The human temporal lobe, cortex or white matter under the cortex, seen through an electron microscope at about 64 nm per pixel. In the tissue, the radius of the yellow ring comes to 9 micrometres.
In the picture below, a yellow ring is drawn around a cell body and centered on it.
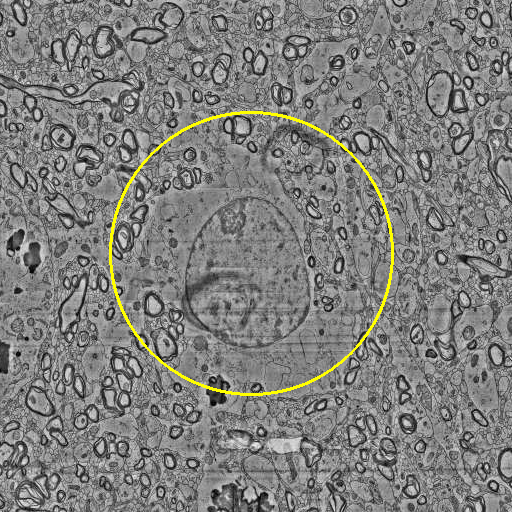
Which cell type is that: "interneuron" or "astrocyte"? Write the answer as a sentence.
The cell centered in the ring is an astrocyte.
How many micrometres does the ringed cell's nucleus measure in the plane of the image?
Approximately 10 micrometres long and 8 micrometres wide, in this plane.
